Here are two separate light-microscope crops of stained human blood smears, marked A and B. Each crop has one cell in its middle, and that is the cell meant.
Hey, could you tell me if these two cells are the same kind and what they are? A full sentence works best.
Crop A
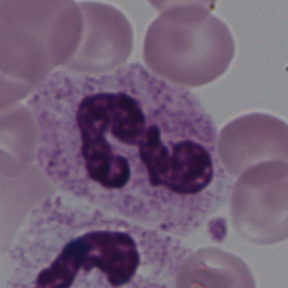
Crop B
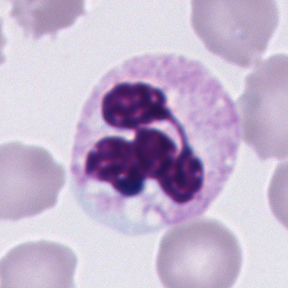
Yes, both crops show segmented neutrophils, with no exception.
